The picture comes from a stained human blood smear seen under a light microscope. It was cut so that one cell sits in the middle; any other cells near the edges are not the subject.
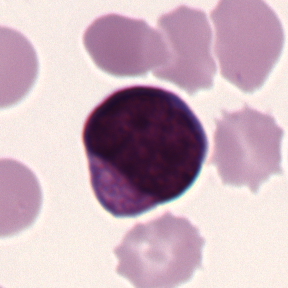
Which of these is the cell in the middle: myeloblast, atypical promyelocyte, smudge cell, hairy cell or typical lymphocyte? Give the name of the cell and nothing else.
myeloblast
